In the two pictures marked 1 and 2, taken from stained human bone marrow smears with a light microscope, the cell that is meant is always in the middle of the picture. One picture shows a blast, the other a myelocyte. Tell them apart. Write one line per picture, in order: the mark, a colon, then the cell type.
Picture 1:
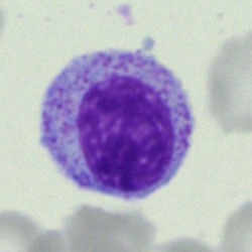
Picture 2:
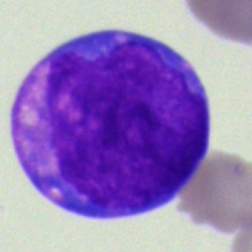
1: myelocyte
2: blast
